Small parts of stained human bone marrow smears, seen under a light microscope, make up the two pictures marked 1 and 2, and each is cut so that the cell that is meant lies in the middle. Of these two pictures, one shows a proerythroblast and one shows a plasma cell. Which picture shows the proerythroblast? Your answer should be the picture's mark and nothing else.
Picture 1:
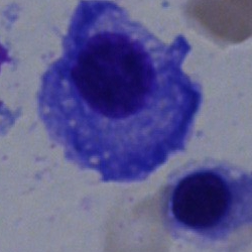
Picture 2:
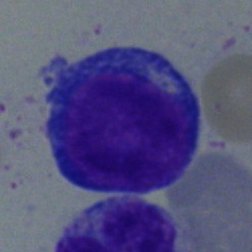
2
